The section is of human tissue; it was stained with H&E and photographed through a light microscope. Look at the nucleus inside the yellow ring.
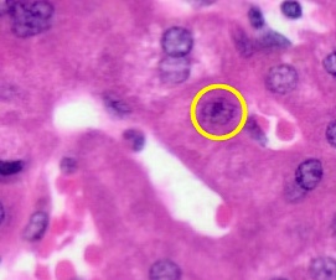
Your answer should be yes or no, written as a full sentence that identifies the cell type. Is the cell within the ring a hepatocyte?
Yes, the classification of the cell within the ring as a hepatocyte is accurate.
